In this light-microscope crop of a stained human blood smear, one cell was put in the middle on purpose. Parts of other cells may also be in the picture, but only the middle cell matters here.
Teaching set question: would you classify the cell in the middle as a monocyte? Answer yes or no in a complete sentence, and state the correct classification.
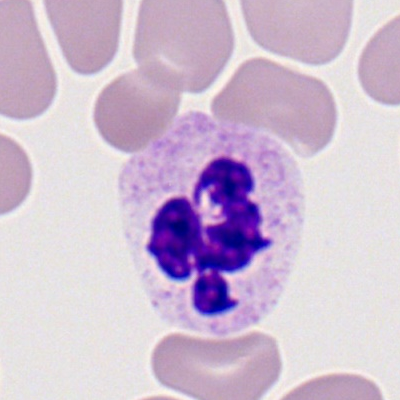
No, the cell in the middle should be called a segmented neutrophil instead of a monocyte.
